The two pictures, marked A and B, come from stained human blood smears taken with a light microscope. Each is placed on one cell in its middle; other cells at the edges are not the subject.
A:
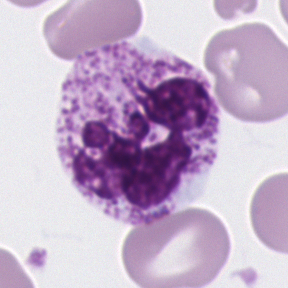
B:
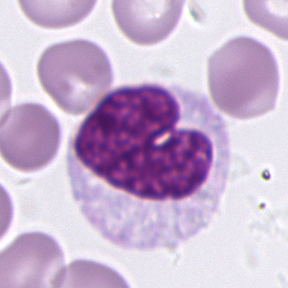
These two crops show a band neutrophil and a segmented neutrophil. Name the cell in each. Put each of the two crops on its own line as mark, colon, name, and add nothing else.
A: segmented neutrophil
B: band neutrophil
